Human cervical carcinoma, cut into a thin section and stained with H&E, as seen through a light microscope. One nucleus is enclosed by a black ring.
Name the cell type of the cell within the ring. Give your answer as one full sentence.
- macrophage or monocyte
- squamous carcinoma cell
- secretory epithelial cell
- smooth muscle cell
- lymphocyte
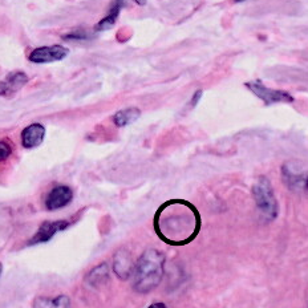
The cell type of the cell within the ring is that of a smooth muscle cell.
